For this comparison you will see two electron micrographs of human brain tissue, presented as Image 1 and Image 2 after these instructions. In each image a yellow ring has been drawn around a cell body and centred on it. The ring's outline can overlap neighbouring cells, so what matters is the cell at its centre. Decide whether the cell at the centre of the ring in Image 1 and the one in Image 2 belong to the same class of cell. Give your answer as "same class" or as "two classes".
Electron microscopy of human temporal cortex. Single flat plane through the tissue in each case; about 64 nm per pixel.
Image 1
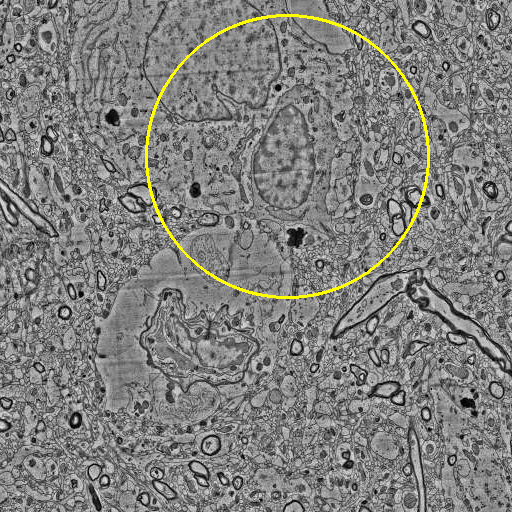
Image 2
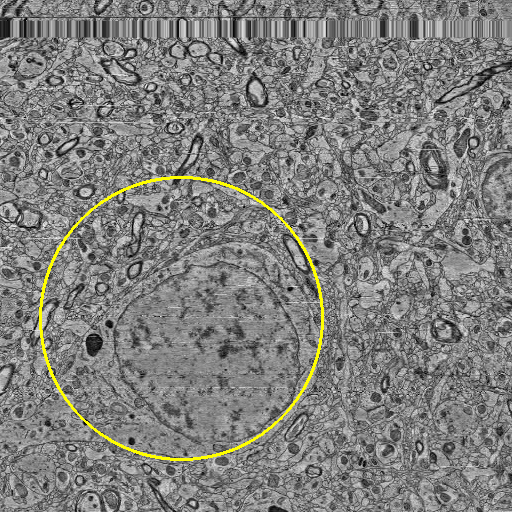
two classes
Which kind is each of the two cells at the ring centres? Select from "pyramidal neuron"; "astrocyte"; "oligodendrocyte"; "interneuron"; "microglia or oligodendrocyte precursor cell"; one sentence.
The cell at the centre of the ring is an oligodendrocyte in the first picture and a pyramidal neuron in the second.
